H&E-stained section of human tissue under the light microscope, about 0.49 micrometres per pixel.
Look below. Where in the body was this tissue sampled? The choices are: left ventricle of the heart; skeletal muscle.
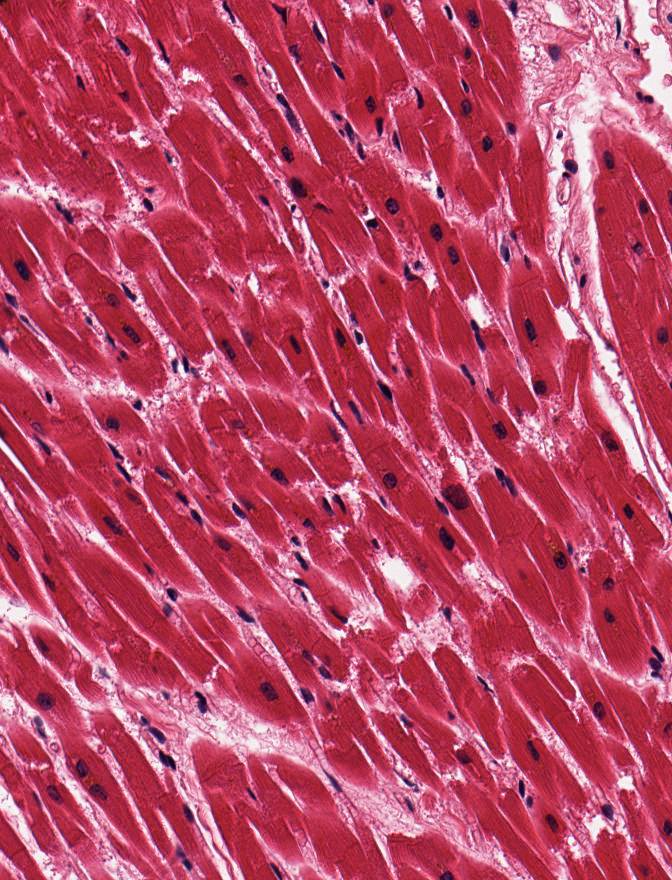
left ventricle of the heart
